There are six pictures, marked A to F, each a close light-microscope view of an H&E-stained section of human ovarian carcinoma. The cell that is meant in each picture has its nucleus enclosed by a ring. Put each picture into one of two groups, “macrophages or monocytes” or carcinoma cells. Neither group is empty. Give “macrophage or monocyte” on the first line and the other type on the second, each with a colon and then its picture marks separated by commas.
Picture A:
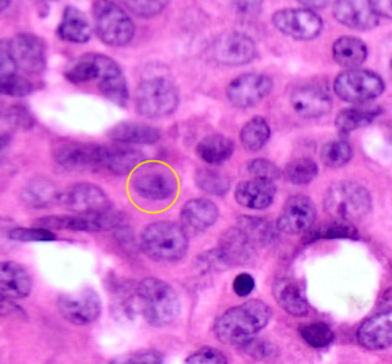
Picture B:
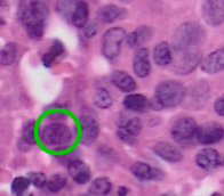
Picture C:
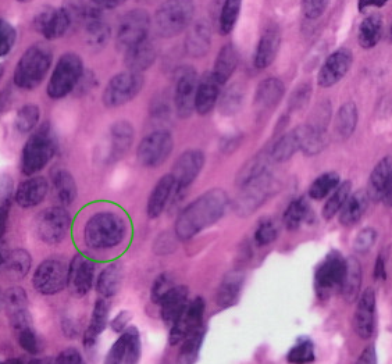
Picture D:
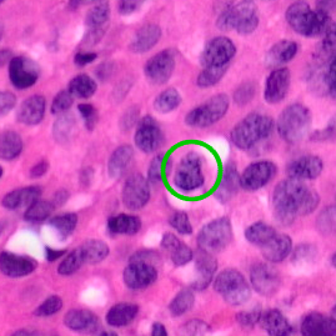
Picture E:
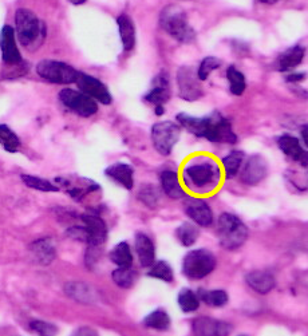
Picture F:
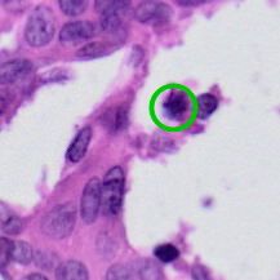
macrophage or monocyte: D, F
carcinoma cell: A, B, C, E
